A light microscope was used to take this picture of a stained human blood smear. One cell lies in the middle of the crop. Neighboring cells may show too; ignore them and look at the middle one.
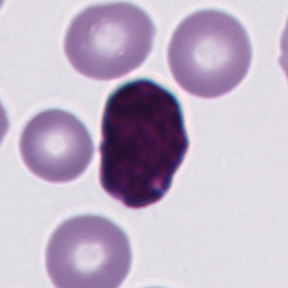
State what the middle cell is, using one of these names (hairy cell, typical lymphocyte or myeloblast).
myeloblast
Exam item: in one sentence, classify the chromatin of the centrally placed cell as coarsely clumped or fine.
One feature to record is coarsely clumped chromatin.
